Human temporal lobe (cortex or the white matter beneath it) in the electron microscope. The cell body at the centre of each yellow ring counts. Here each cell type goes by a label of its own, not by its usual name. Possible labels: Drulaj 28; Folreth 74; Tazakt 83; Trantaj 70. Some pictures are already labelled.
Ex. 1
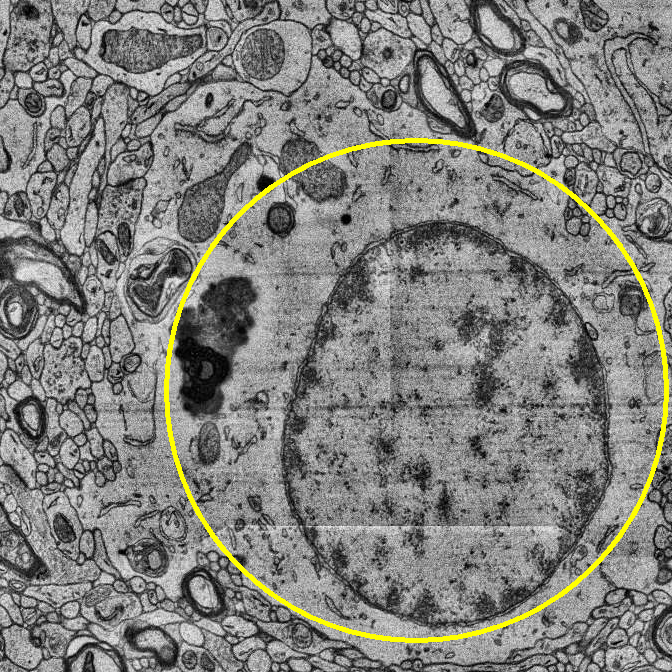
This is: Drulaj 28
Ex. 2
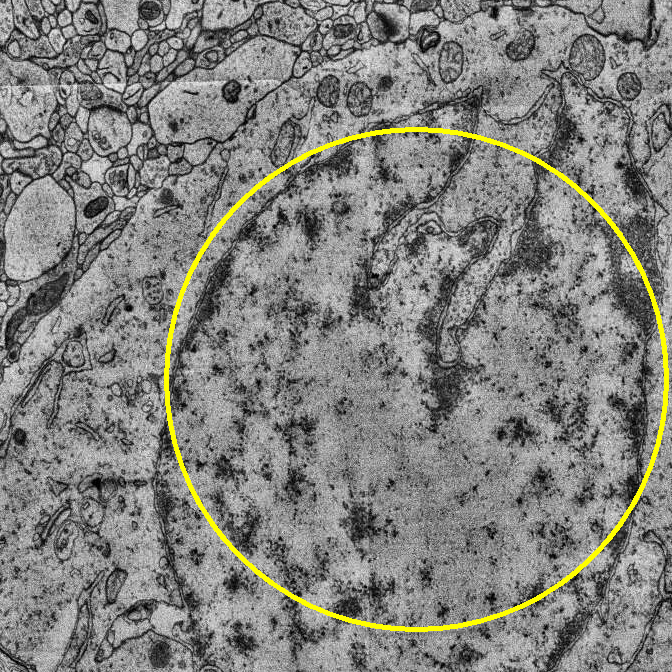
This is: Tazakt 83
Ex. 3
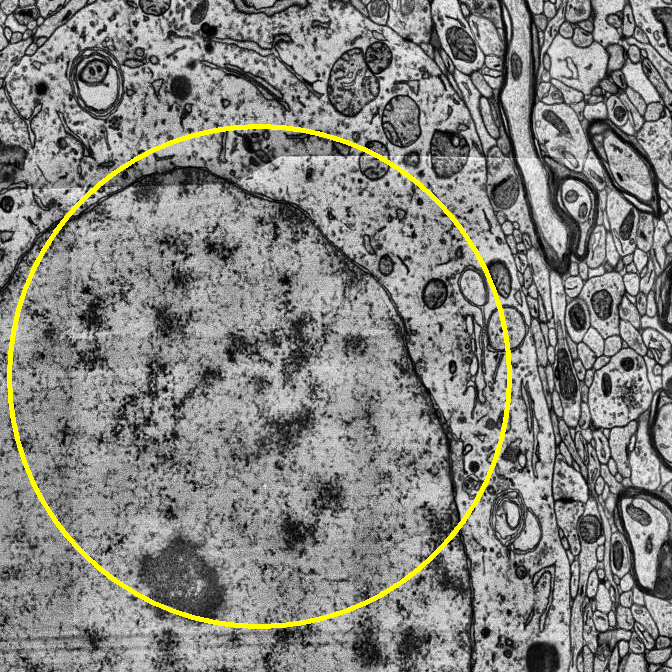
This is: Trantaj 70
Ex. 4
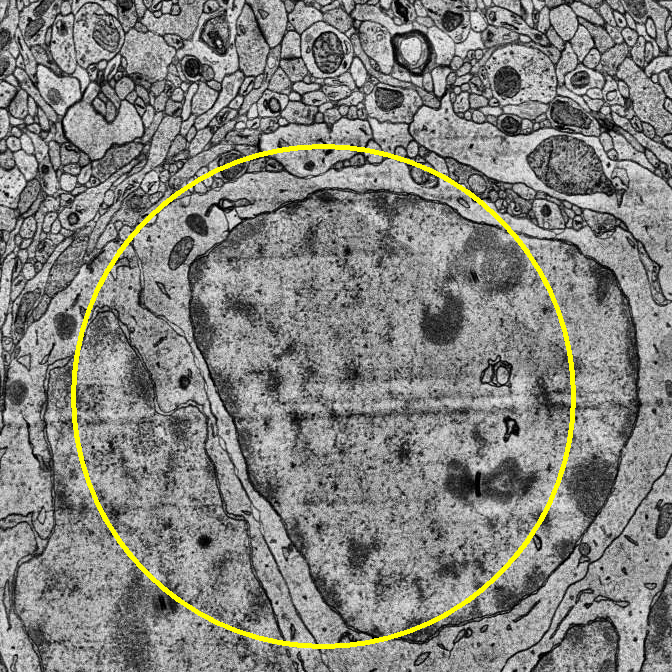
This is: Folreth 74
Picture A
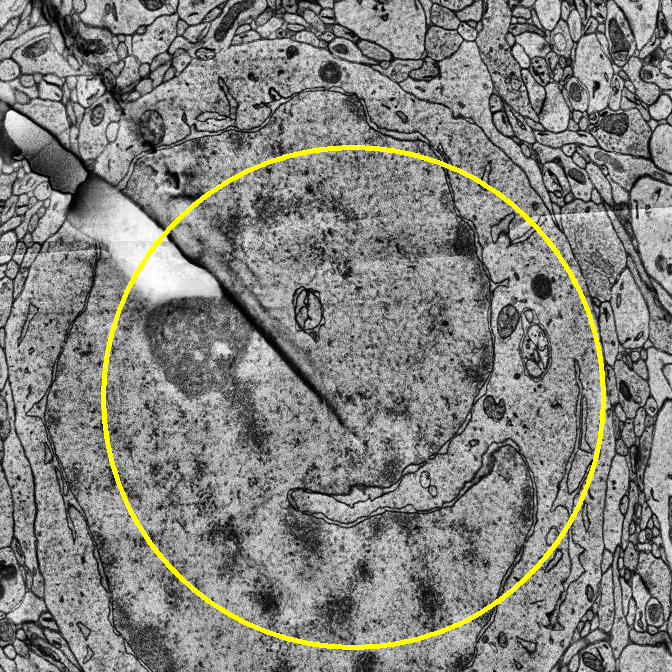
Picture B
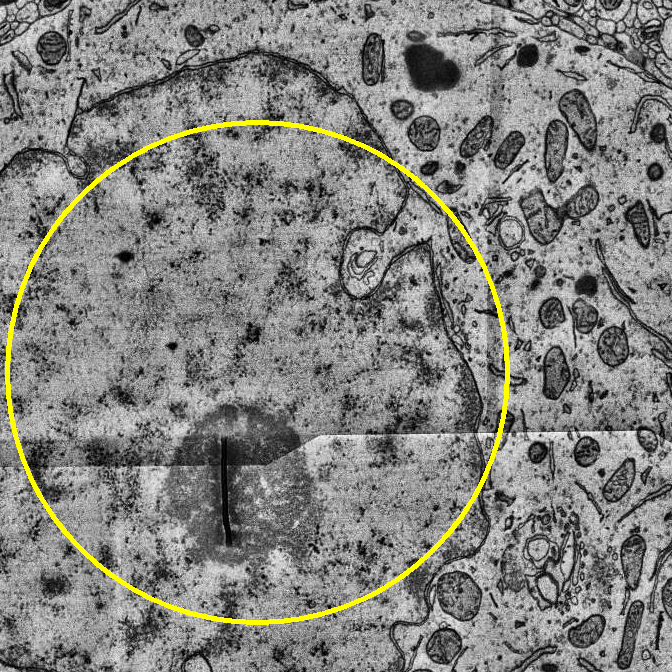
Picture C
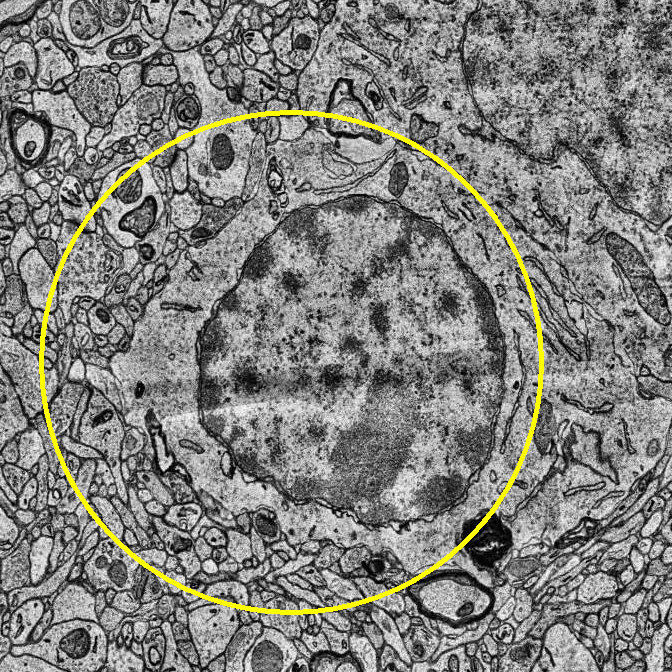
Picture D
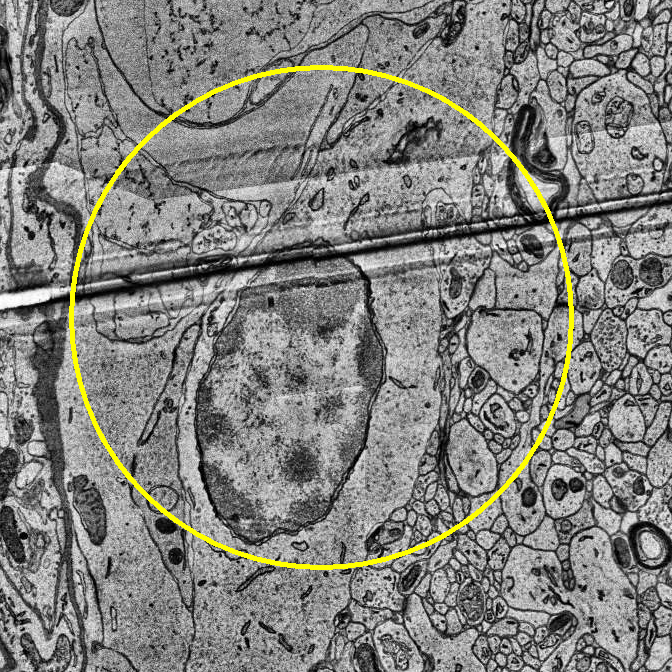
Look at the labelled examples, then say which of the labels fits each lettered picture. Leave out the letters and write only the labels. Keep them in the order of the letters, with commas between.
Tazakt 83, Tazakt 83, Folreth 74, Folreth 74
